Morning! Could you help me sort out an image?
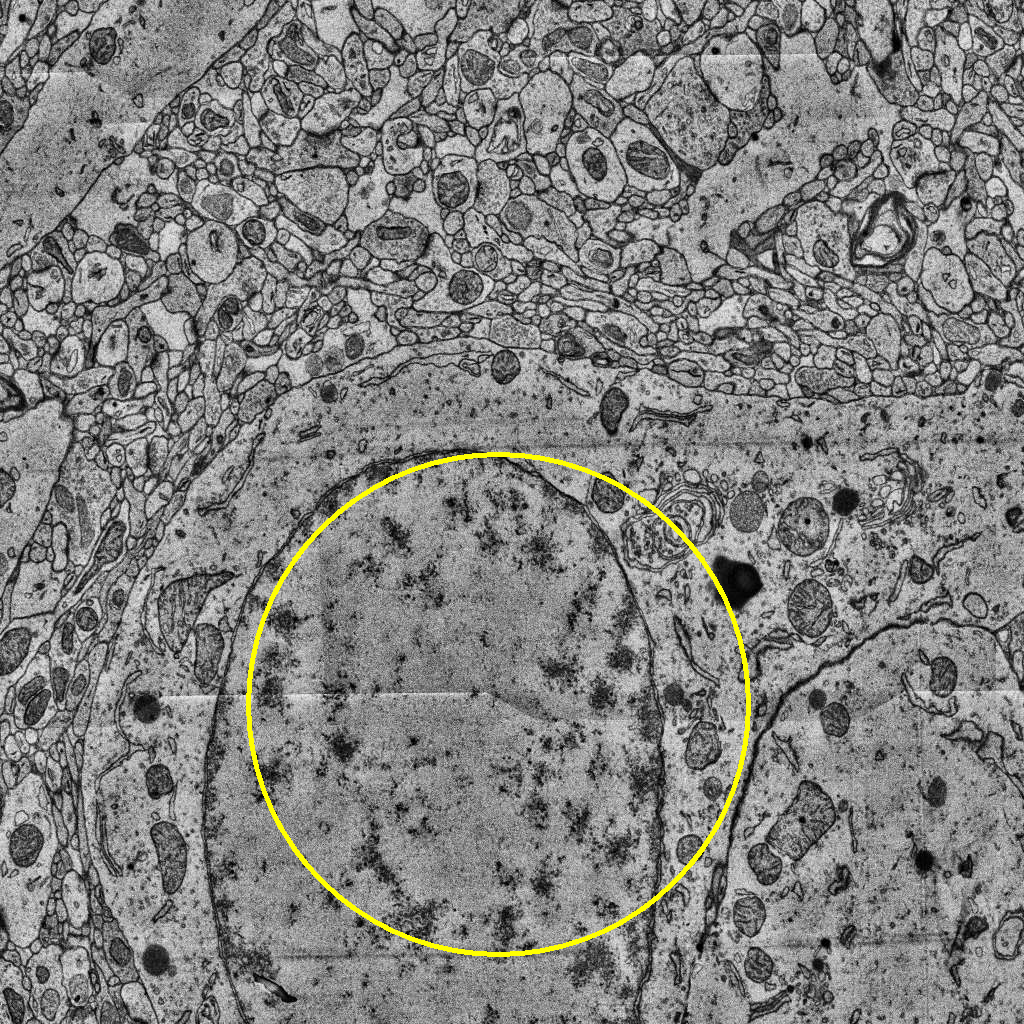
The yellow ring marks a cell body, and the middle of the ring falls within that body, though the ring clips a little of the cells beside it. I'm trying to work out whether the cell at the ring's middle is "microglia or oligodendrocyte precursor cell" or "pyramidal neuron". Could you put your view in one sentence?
The cell body at the ring's middle is that of a pyramidal neuron.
